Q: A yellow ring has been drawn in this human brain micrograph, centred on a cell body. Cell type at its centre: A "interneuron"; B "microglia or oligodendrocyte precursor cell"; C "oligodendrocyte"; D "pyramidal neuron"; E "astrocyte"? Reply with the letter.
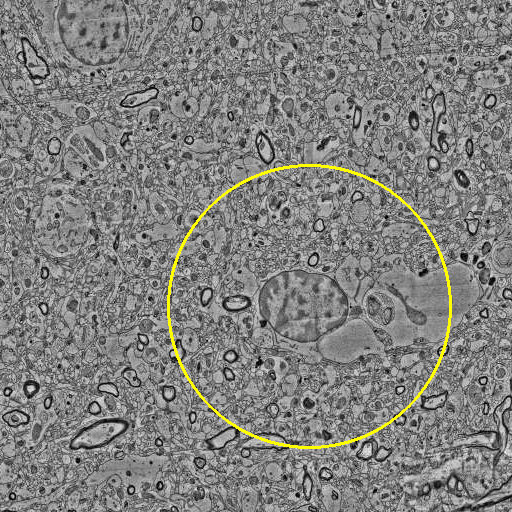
B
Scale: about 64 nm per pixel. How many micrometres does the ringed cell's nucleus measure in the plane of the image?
The nucleus measures about 6 by 4 micrometres in this plane.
